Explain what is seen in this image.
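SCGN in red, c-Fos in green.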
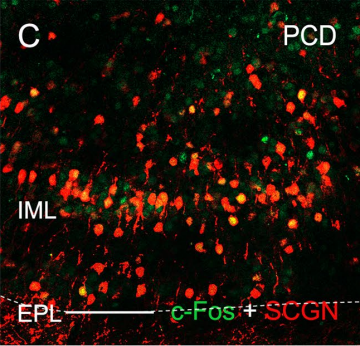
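Fluorescence view of the inframitral layers above the external plexiform layer, the boundary drawn as a dashed line near the bottom. Many rounded red somata are present, crowded into a dense band in the lower part of the layer and more scattered above it. Some show short thin processes. Green nuclei are scattered throughout, and many overlap red somata so that these cells appear yellow to orange. Few labelled cells lie below the dashed line.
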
